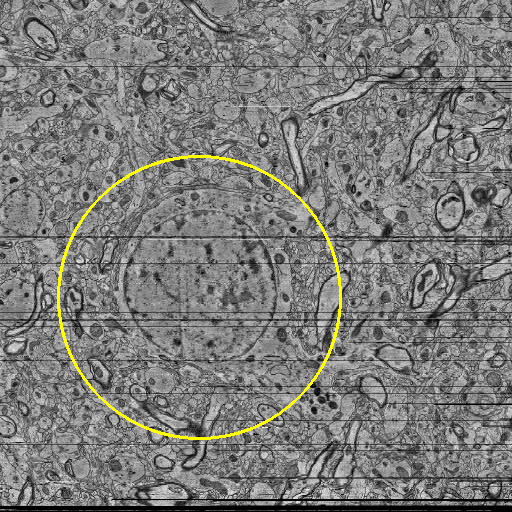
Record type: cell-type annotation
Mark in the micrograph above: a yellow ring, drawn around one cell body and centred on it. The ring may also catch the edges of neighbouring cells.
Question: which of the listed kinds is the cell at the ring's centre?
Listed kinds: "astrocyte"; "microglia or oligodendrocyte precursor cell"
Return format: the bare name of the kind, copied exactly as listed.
astrocyte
